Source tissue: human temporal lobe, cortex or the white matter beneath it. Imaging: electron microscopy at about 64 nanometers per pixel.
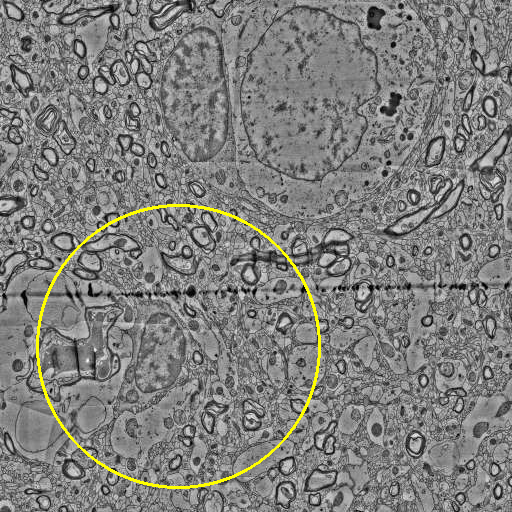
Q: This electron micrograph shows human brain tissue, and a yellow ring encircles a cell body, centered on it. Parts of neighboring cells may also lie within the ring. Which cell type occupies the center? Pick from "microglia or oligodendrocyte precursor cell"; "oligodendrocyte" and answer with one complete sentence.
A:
What sits at the ring's center in this micrograph is an oligodendrocyte, among those choices.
